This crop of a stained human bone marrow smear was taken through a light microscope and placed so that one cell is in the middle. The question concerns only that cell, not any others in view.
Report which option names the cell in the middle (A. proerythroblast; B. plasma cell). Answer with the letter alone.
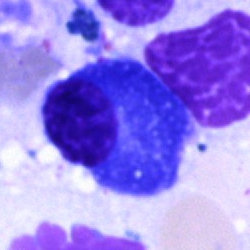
B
